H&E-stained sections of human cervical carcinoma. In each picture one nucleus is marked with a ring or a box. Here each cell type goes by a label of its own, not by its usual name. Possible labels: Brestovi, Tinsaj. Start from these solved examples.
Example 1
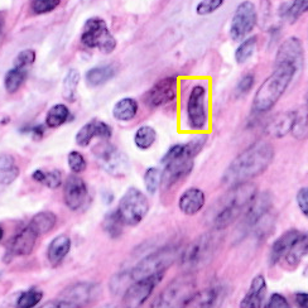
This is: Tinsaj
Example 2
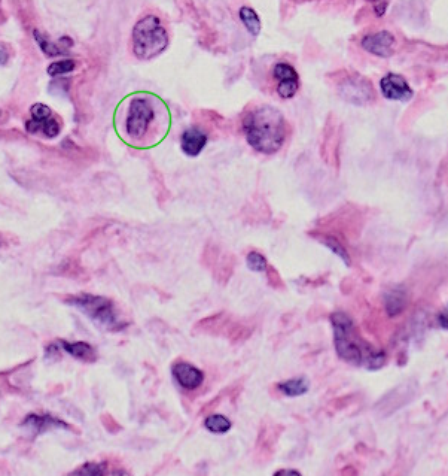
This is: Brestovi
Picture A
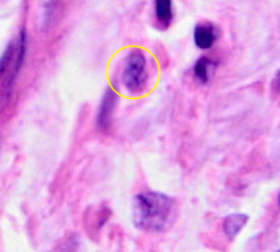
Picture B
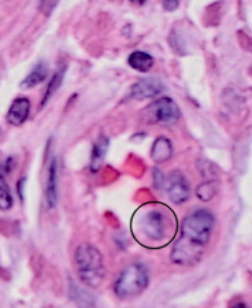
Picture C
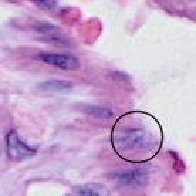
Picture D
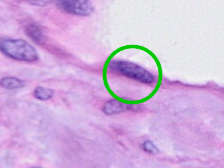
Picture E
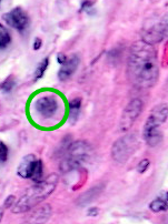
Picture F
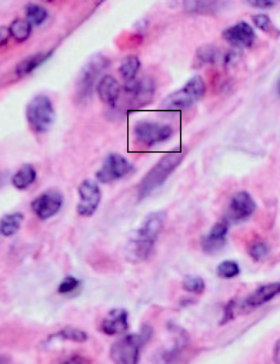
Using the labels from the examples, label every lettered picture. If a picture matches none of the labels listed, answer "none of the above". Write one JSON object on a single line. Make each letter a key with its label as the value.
{"A": "Brestovi", "B": "none of the above", "C": "none of the above", "D": "none of the above", "E": "Tinsaj", "F": "Tinsaj"}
